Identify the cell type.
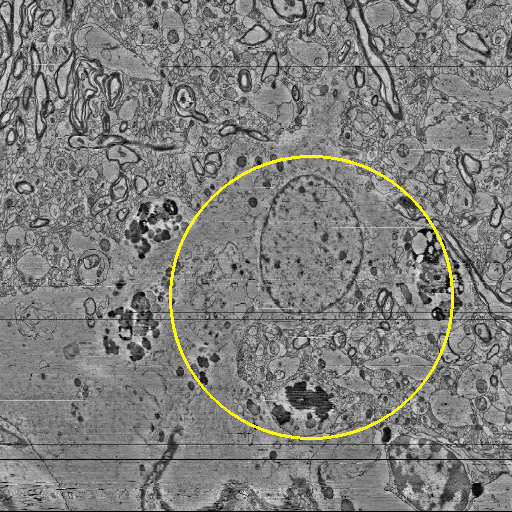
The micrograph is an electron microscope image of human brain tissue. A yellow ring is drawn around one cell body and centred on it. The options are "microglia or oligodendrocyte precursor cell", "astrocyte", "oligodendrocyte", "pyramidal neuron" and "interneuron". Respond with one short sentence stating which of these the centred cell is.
The cell body in the ring belongs to an astrocyte.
